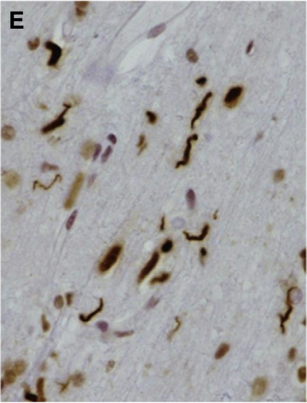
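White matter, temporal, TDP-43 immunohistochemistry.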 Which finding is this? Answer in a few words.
short curved dystrophic neurites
